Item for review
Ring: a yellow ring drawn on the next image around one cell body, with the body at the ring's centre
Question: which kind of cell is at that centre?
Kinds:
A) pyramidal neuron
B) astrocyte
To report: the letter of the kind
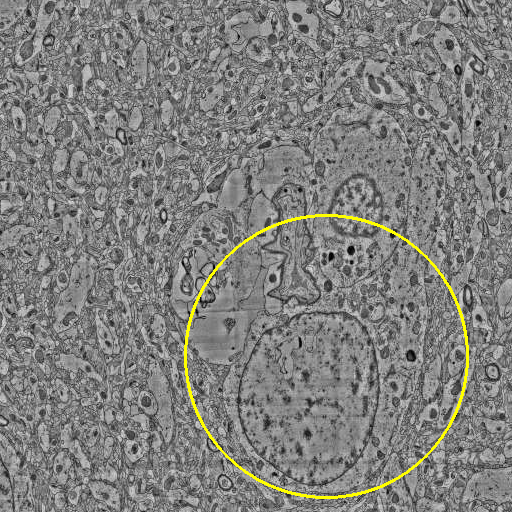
A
